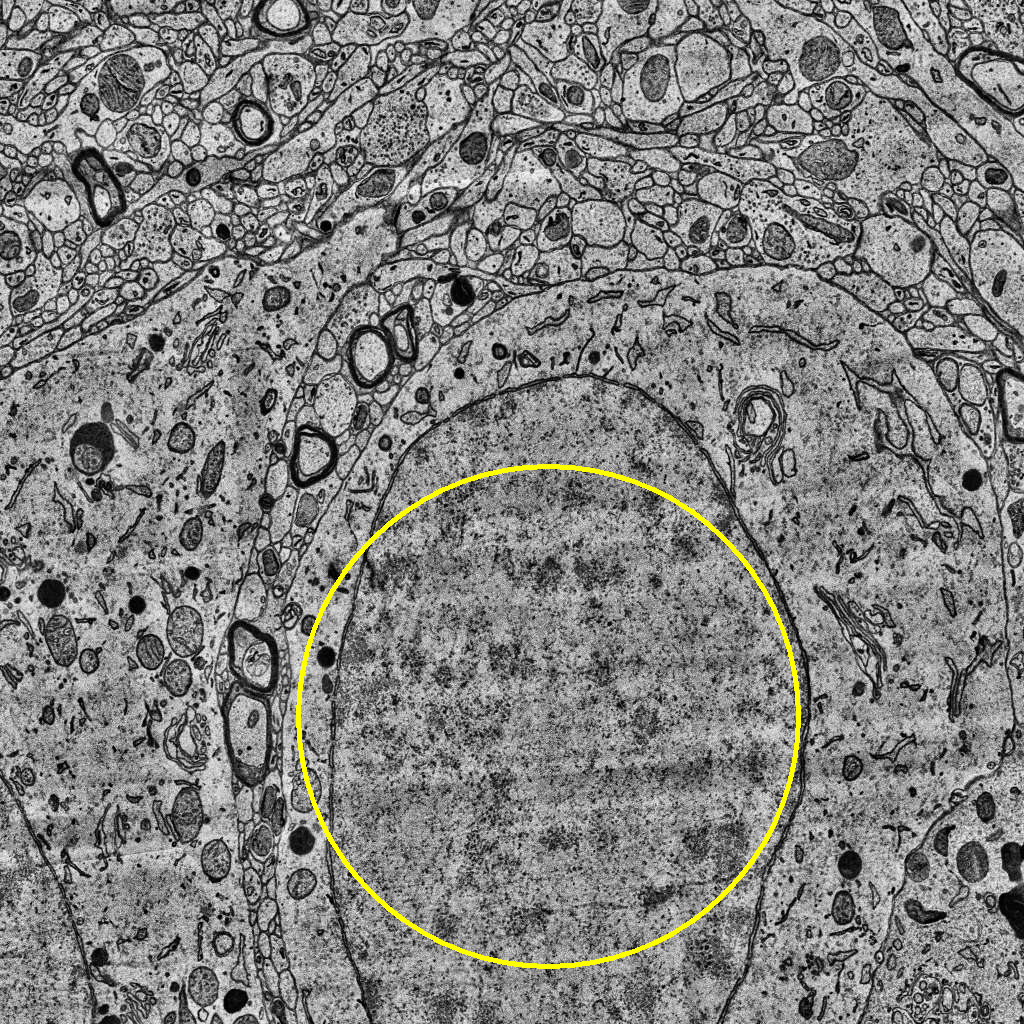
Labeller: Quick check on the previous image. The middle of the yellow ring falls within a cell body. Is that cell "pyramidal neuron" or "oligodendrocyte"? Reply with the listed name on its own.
pyramidal neuron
